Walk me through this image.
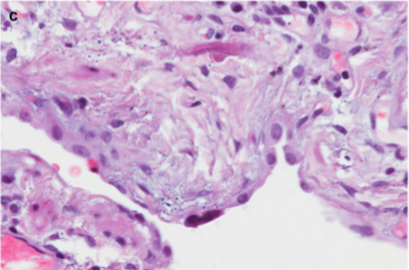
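Elongated spindle-shaped cells with thin, dark purple nuclei lie scattered in a pale bluish-grey, loose matrix. Along its edge the focus is covered by a lining of plumper cells with rounded nuclei. Denser, more cellular tissue borders it on the sides.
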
